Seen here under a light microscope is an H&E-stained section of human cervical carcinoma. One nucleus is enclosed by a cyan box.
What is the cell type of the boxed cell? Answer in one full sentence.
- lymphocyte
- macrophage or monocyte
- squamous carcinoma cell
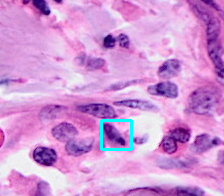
The classification of the boxed cell is as a macrophage or monocyte.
